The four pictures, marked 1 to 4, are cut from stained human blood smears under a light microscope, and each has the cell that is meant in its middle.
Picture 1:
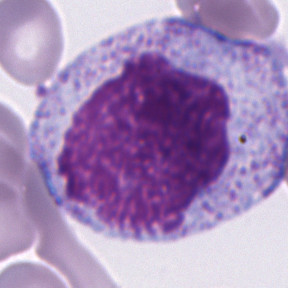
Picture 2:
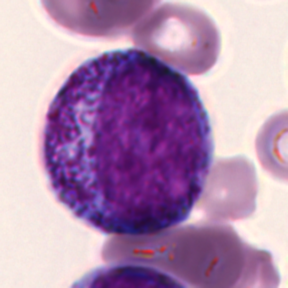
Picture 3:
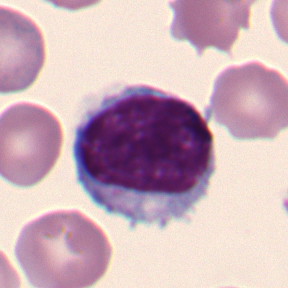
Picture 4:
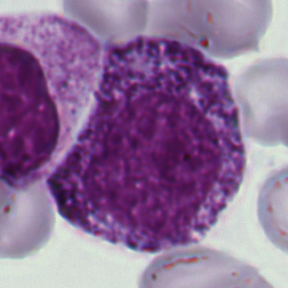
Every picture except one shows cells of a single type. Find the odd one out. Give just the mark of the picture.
3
